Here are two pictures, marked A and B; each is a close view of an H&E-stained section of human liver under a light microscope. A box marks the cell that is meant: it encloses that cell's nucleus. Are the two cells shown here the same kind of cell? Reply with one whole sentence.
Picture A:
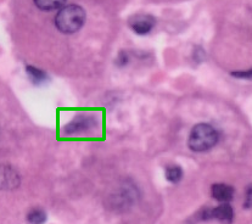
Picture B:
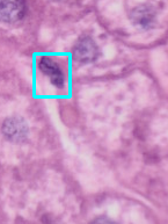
No, picture A shows a “fibroblast or stellate cell” and picture B shows a Kupffer cell.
